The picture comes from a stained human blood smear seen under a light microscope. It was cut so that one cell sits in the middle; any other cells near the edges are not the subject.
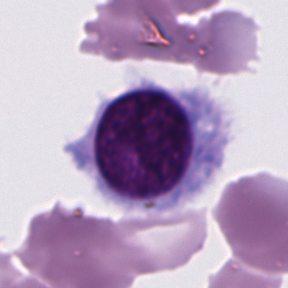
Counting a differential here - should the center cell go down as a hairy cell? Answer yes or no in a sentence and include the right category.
Yes, within this crop, the central cell is a hairy cell.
